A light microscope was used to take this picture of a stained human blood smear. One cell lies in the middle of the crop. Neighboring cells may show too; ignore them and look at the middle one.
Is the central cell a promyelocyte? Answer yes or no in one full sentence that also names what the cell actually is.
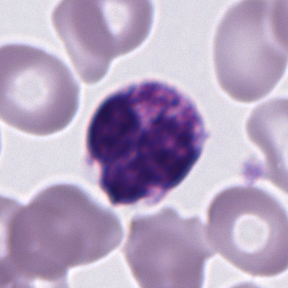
No, the cell under consideration is a basophil instead of a promyelocyte.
